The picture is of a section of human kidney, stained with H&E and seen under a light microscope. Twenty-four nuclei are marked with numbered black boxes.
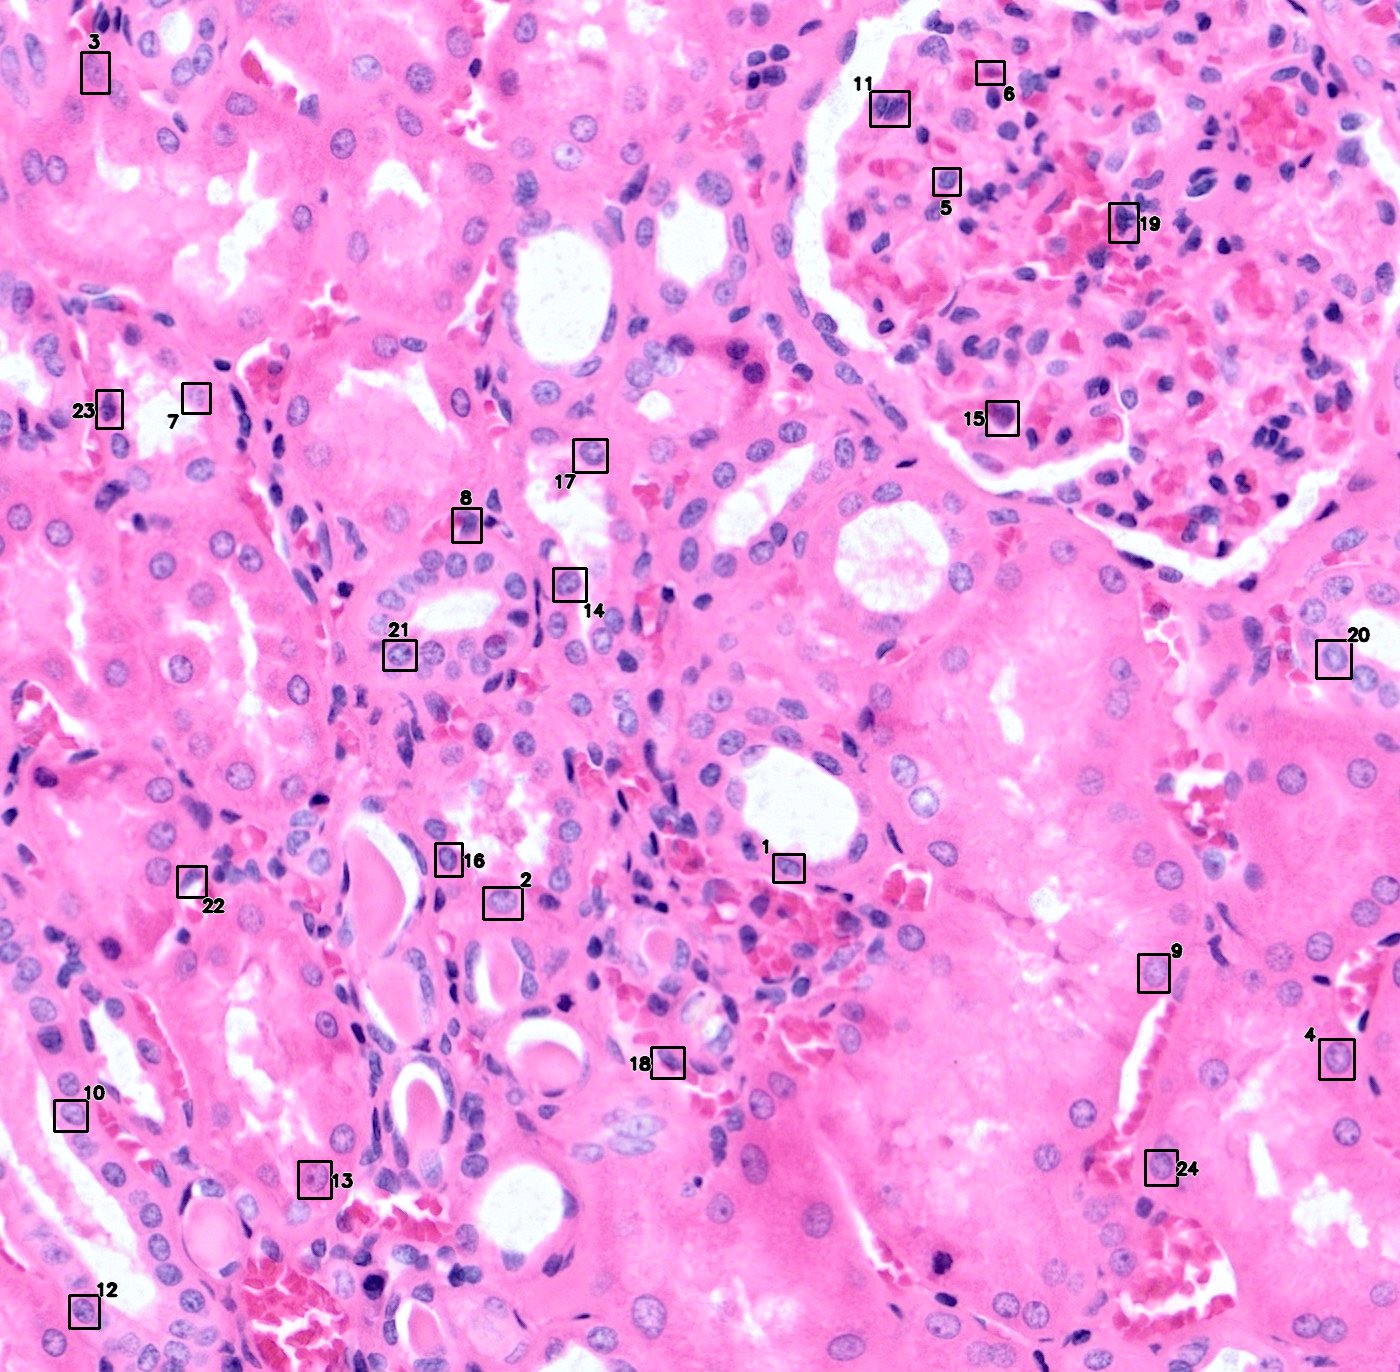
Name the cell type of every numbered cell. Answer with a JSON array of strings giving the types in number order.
["loop of Henle or distal tubule cell", "loop of Henle or distal tubule cell", "proximal tubule cell", "proximal tubule cell", "endothelial cell", "endothelial cell", "loop of Henle or distal tubule cell", "endothelial cell", "proximal tubule cell", "collecting duct cell", "endothelial cell", "collecting duct cell", "proximal tubule cell", "loop of Henle or distal tubule cell", "endothelial cell", "loop of Henle or distal tubule cell", "loop of Henle or distal tubule cell", "endothelial cell", "endothelial cell", "collecting duct cell", "collecting duct cell", "endothelial cell", "loop of Henle or distal tubule cell", "proximal tubule cell"]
